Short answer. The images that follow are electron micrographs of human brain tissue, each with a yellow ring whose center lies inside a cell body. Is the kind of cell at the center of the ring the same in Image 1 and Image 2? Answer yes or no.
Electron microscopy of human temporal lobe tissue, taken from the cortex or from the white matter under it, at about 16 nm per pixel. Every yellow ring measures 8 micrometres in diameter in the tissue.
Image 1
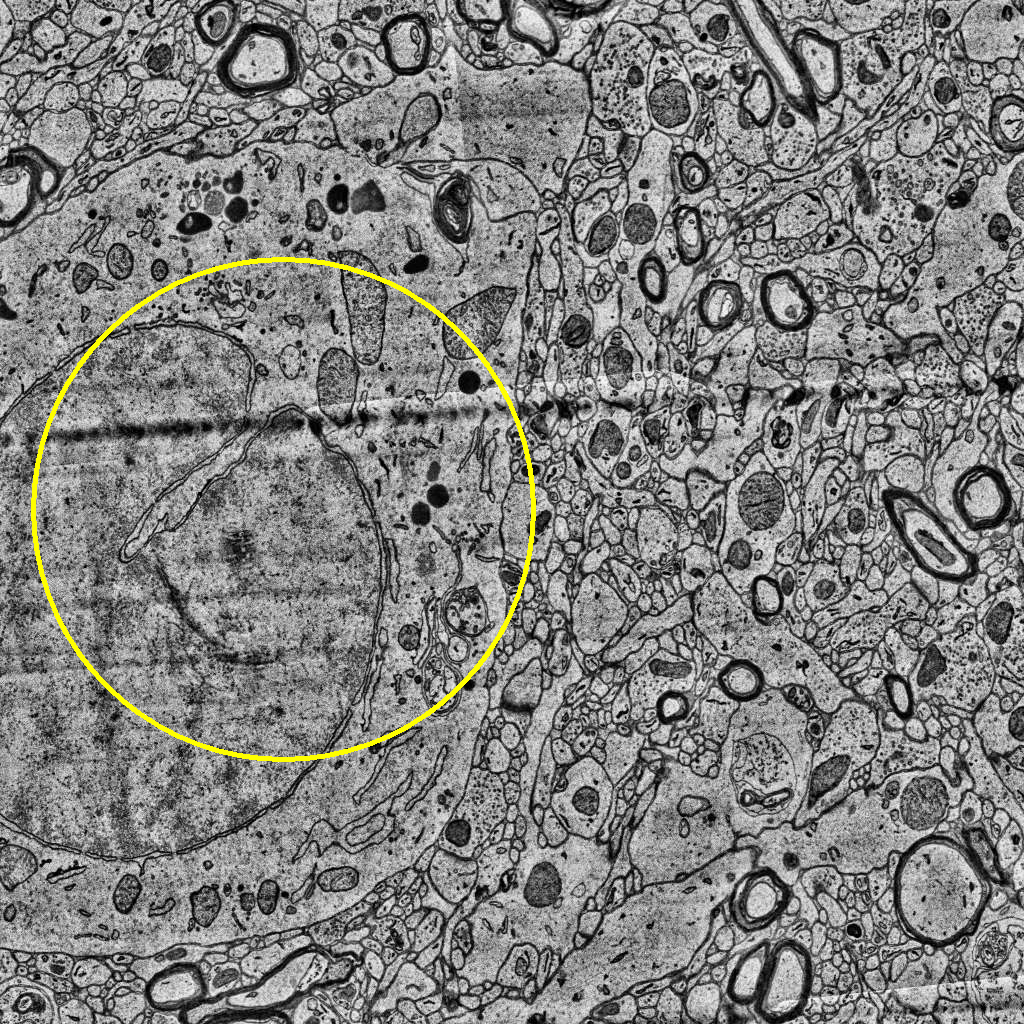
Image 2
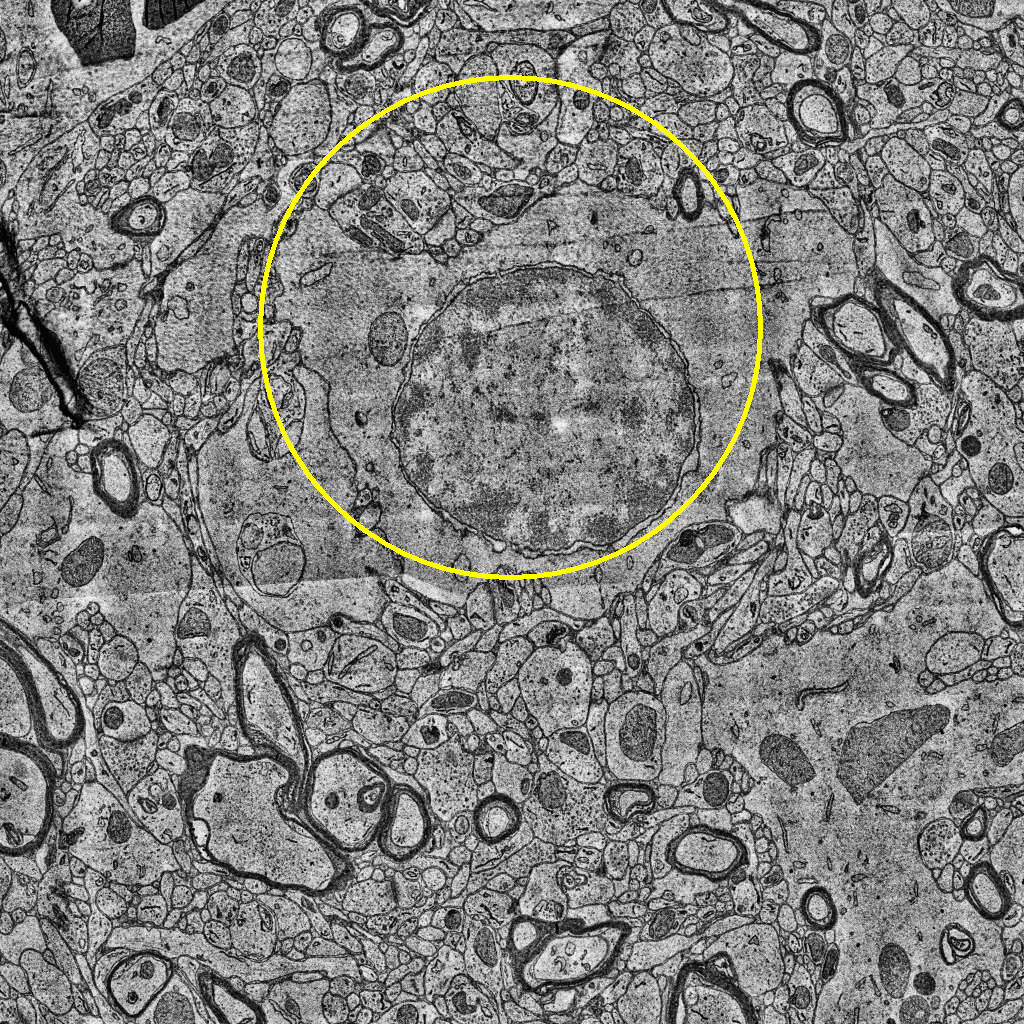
no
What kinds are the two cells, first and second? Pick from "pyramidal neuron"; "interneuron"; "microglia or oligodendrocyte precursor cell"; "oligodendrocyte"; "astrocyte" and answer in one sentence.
The first cell is an interneuron; the second is an astrocyte.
